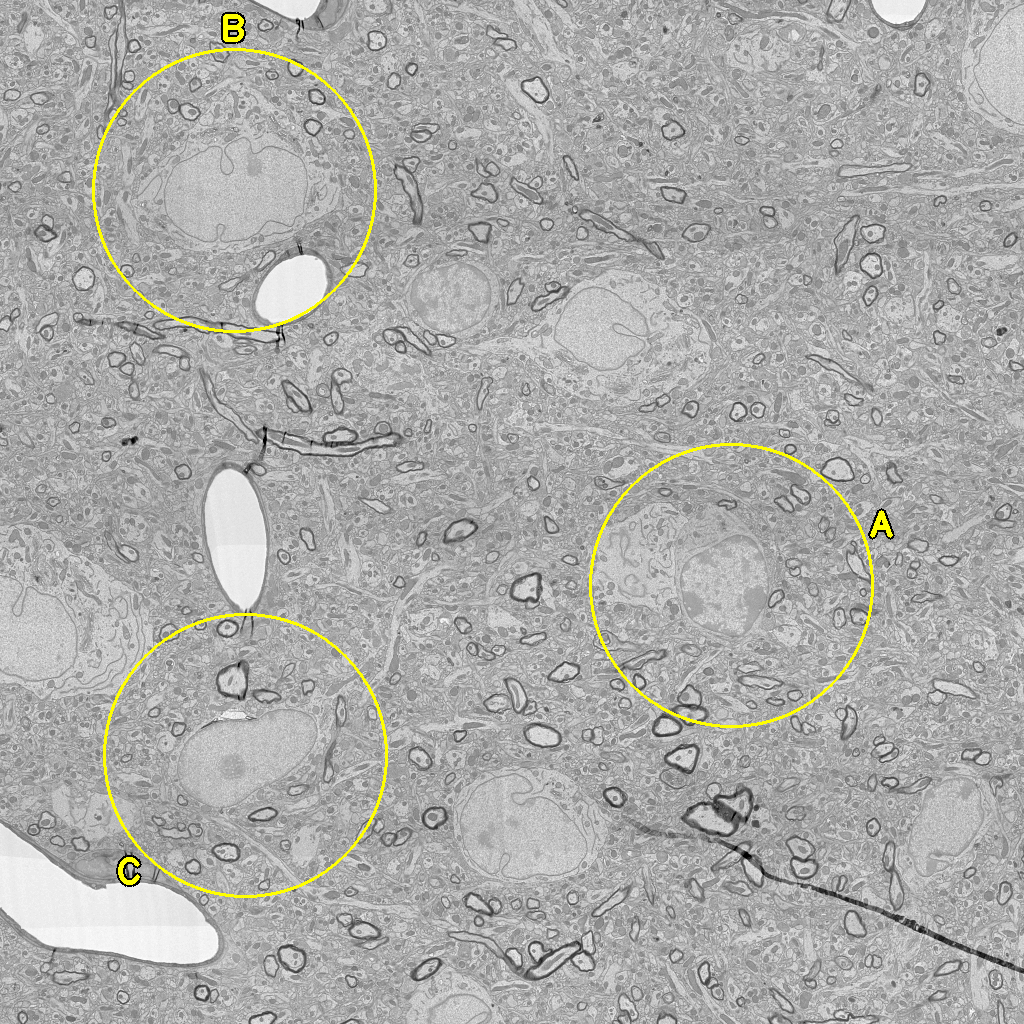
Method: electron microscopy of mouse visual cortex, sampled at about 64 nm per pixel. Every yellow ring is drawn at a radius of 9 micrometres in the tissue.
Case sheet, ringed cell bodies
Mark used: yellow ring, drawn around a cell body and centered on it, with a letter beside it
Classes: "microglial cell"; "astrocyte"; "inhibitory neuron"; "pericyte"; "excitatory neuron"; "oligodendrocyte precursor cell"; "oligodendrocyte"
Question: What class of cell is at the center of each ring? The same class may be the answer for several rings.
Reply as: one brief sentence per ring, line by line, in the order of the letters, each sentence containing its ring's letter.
Ring A has an oligodendrocyte at its center.
Ring B has an excitatory neuron at its center.
Ring C has an astrocyte at its center.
